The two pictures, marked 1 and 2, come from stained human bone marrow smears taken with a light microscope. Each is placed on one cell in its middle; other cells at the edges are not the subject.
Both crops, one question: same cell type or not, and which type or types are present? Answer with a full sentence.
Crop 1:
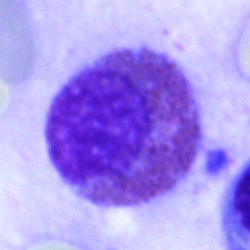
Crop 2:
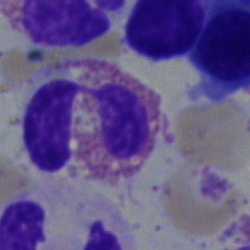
Yes, both crops here show eosinophils, the pair of them.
